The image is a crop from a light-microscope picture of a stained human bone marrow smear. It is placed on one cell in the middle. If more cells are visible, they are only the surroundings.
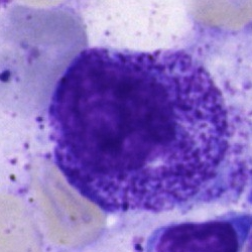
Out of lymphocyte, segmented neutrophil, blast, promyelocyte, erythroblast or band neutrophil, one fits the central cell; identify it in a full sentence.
The cell positioned in the middle of the field is a promyelocyte.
